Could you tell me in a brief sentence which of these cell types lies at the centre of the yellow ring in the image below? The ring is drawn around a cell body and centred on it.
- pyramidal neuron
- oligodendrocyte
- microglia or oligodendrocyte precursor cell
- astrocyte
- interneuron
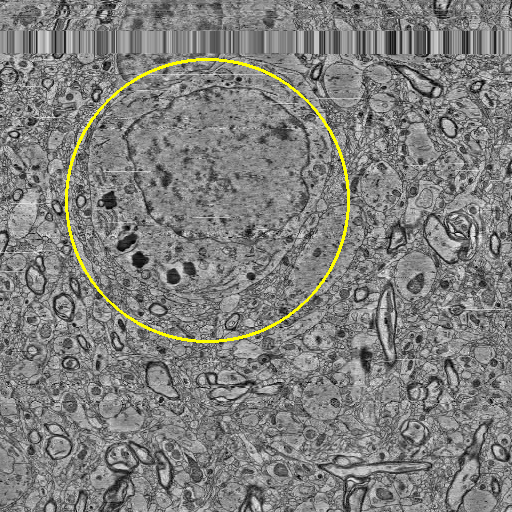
The cell centred in the ring is an interneuron.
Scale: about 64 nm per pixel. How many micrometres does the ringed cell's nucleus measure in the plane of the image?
In this plane the ringed cell's nucleus is roughly 12 micrometres across.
